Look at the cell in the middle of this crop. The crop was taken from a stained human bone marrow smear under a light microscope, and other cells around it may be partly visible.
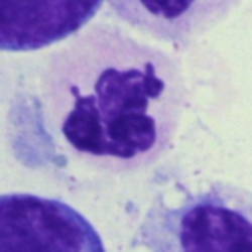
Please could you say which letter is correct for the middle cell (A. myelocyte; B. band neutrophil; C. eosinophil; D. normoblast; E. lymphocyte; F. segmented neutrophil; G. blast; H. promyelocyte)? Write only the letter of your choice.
F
